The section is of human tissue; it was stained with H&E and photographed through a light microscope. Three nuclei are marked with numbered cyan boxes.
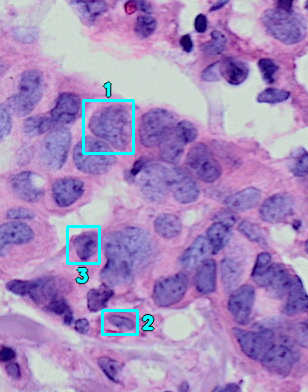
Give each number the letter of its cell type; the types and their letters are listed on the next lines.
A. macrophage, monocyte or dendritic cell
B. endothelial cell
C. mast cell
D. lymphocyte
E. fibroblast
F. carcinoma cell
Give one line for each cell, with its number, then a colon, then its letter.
1: F
2: B
3: F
